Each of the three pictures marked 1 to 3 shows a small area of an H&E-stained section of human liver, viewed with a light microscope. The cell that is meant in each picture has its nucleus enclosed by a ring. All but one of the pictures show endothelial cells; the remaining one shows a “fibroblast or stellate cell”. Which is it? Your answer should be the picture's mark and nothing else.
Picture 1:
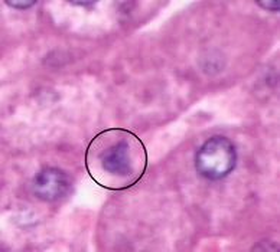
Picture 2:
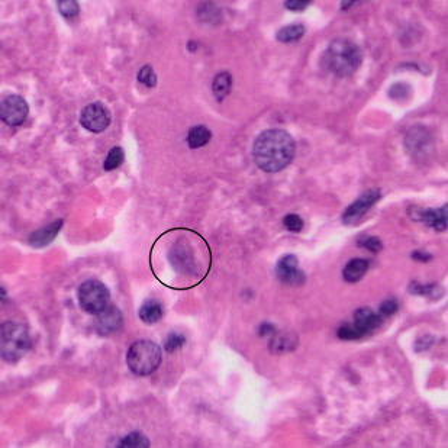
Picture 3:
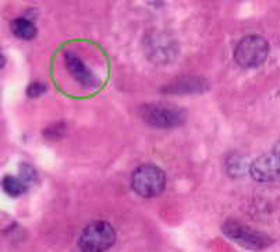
3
